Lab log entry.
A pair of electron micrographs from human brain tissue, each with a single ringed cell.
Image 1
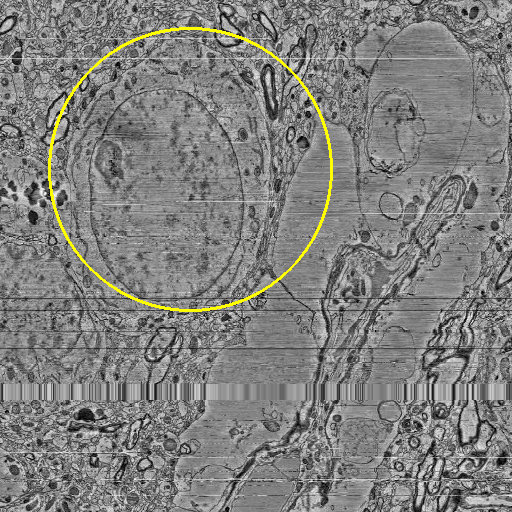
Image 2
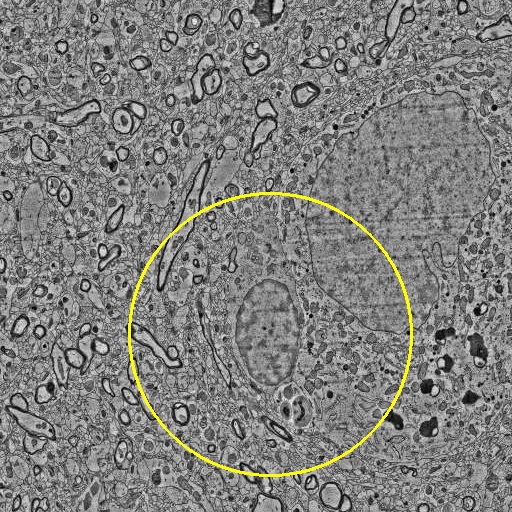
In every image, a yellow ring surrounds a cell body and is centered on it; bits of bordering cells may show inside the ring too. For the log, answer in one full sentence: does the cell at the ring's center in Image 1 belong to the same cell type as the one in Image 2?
No, the cells at the ring centers in Image 1 and Image 2 are of separate types.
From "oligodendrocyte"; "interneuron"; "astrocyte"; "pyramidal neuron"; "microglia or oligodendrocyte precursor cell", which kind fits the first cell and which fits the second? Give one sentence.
The cell marked in the first picture is a pyramidal neuron, and the one marked in the second is a microglial cell or oligodendrocyte precursor cell.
